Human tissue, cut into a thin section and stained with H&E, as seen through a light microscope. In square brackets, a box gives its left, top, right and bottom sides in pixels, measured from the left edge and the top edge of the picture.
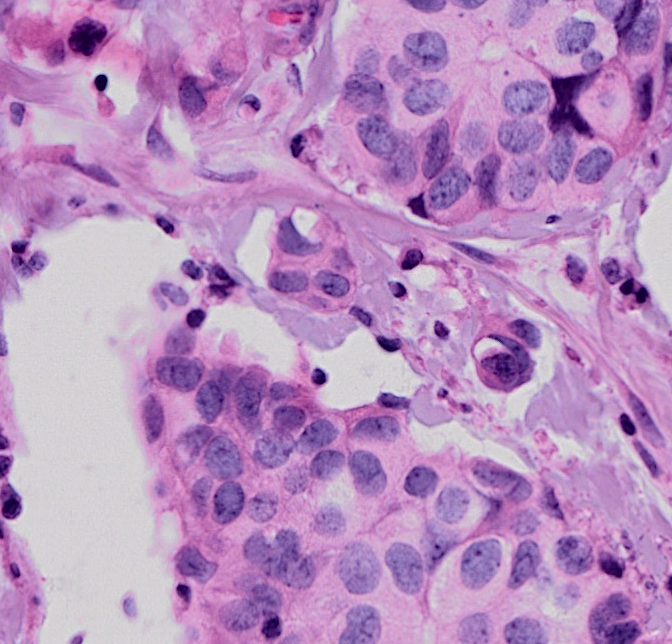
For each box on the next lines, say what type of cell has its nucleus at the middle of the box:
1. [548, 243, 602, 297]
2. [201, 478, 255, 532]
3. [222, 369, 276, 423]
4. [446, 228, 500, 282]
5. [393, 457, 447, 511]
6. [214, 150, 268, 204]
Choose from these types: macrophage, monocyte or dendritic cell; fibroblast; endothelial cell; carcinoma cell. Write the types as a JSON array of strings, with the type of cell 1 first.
["macrophage, monocyte or dendritic cell", "carcinoma cell", "carcinoma cell", "fibroblast", "carcinoma cell", "fibroblast"]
